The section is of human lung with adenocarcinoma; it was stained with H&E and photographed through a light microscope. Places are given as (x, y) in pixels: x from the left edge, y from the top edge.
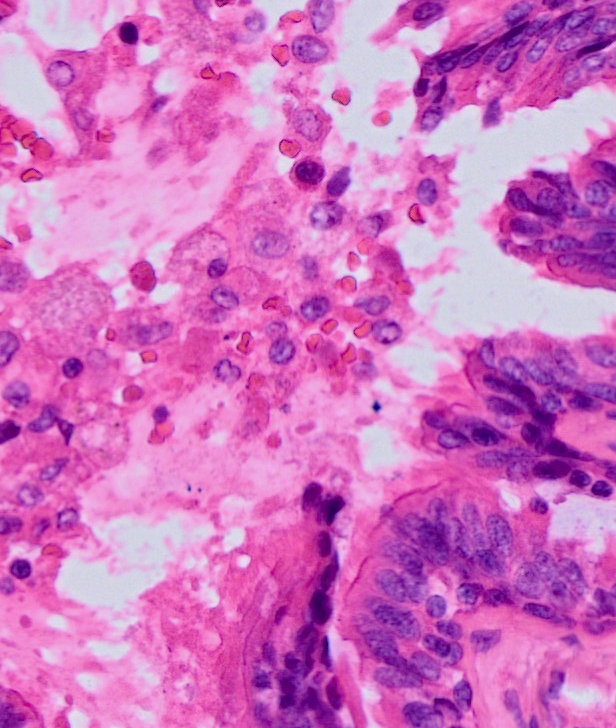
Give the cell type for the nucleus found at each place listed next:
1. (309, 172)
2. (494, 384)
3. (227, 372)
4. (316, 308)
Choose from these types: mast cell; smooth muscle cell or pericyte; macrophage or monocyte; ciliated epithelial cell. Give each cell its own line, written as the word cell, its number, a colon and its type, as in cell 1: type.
cell 1: macrophage or monocyte
cell 2: ciliated epithelial cell
cell 3: macrophage or monocyte
cell 4: macrophage or monocyte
